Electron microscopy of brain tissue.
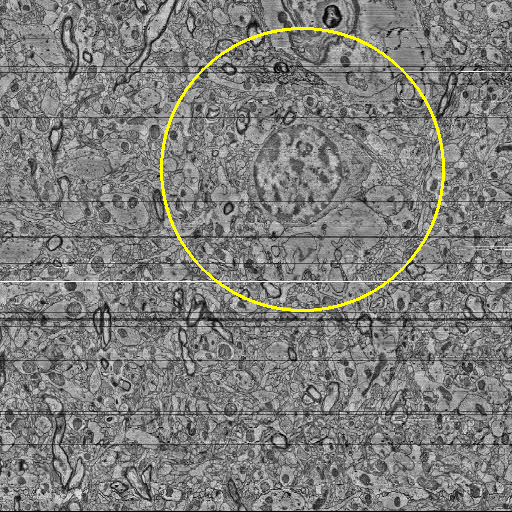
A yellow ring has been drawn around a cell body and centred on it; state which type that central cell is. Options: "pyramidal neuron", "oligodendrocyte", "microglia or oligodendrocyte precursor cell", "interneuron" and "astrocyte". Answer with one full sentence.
The cell at the middle of the yellow ring is an oligodendrocyte in this picture.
